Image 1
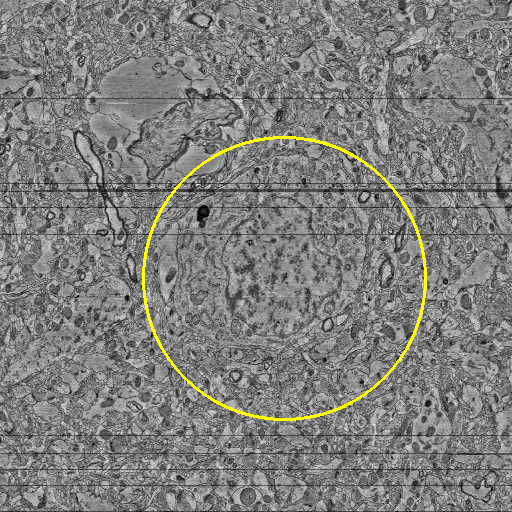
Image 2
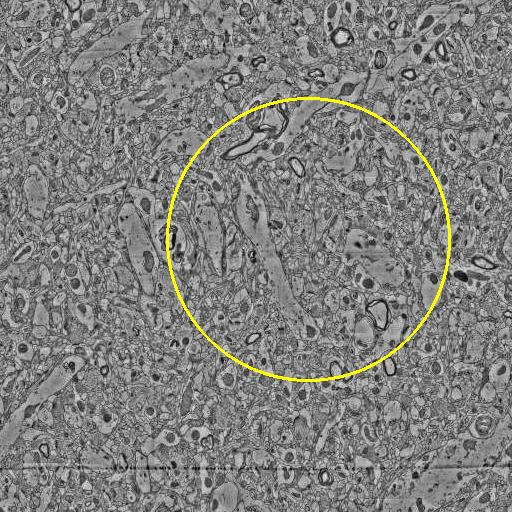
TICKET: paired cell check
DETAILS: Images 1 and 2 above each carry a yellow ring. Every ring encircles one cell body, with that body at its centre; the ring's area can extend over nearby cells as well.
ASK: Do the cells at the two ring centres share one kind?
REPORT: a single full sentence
No, the ring-centre cells of Images 1 and 2 belong to two kinds.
